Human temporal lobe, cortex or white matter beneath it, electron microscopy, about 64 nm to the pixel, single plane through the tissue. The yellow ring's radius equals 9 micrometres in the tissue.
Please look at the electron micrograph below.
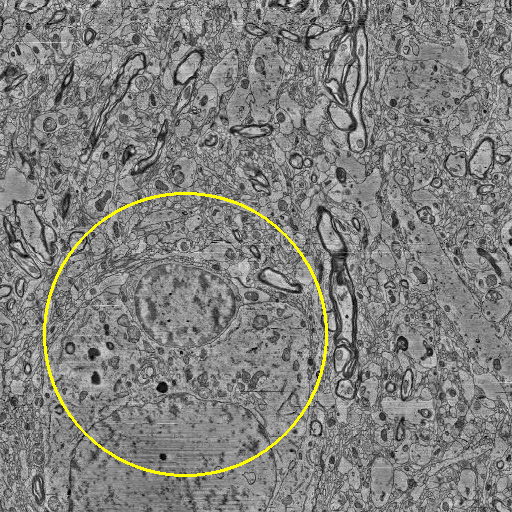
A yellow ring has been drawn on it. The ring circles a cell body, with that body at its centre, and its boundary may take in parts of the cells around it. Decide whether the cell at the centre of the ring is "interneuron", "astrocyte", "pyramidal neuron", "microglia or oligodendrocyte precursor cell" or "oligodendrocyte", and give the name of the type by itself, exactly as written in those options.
oligodendrocyte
